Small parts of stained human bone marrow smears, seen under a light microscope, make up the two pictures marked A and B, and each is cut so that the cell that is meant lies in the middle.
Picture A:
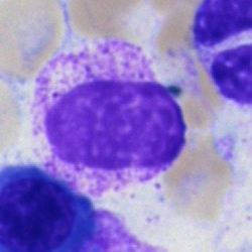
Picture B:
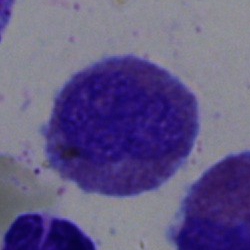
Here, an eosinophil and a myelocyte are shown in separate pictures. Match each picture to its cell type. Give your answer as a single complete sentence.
Picture A is of a myelocyte, and picture B is of an eosinophil.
